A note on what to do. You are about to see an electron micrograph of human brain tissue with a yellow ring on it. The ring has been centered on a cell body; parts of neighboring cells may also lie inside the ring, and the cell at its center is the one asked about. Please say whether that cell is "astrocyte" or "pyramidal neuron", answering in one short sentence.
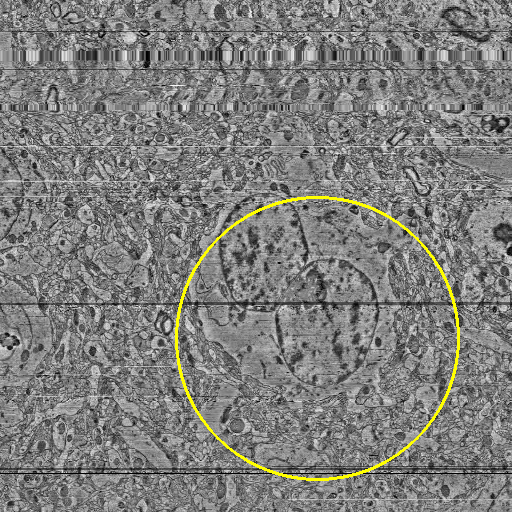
The yellow ring sits on an astrocyte.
